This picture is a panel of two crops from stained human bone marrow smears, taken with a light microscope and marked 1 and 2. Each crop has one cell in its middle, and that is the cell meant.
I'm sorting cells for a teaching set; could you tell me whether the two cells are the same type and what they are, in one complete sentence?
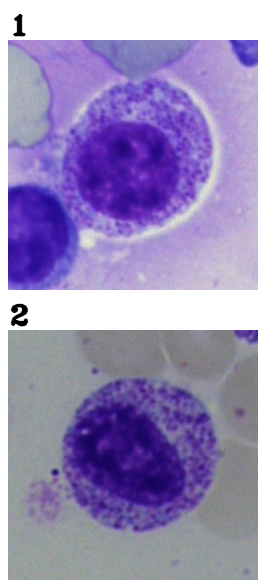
Yes, put down myelocytes for both crops.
